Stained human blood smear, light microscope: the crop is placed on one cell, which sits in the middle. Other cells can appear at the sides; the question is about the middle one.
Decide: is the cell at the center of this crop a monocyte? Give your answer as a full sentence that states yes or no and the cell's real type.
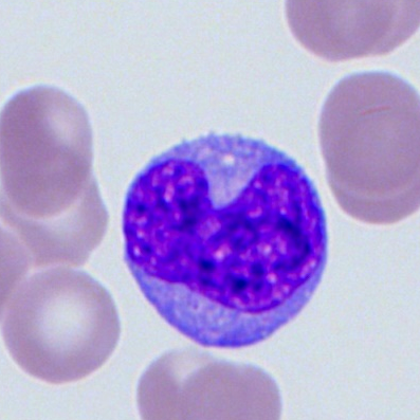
Yes, centred in the crop is a monocyte.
